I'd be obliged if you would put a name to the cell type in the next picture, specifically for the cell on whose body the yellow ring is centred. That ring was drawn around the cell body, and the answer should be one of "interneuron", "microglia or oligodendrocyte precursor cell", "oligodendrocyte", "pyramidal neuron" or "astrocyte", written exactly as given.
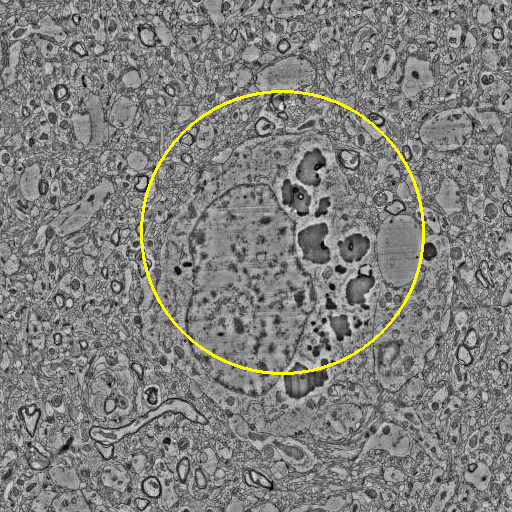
interneuron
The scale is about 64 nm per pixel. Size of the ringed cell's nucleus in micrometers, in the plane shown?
Roughly 14 by 8 micrometres is the size of the nucleus in this plane.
